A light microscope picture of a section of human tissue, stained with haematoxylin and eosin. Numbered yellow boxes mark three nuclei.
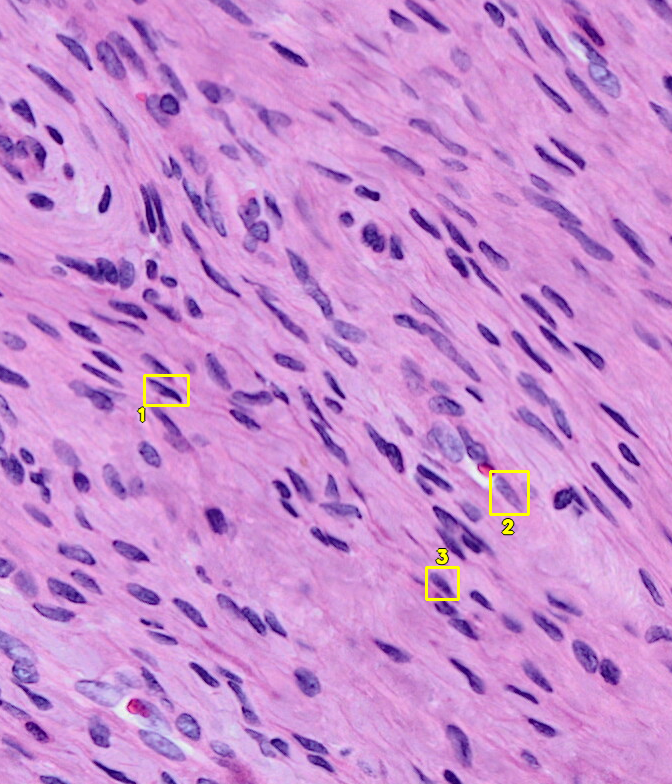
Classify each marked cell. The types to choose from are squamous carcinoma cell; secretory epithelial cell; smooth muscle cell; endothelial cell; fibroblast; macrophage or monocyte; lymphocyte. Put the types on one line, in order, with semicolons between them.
fibroblast; endothelial cell; fibroblast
